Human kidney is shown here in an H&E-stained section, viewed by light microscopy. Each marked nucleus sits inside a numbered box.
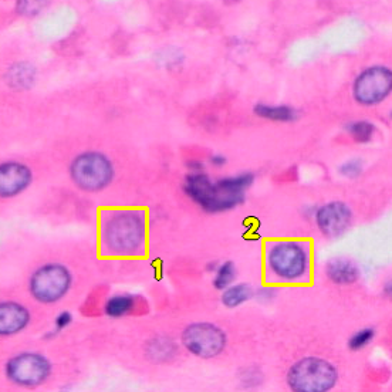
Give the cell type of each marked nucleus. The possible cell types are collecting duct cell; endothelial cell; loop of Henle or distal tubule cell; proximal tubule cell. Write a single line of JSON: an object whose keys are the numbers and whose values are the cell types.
{"1": "proximal tubule cell", "2": "loop of Henle or distal tubule cell"}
